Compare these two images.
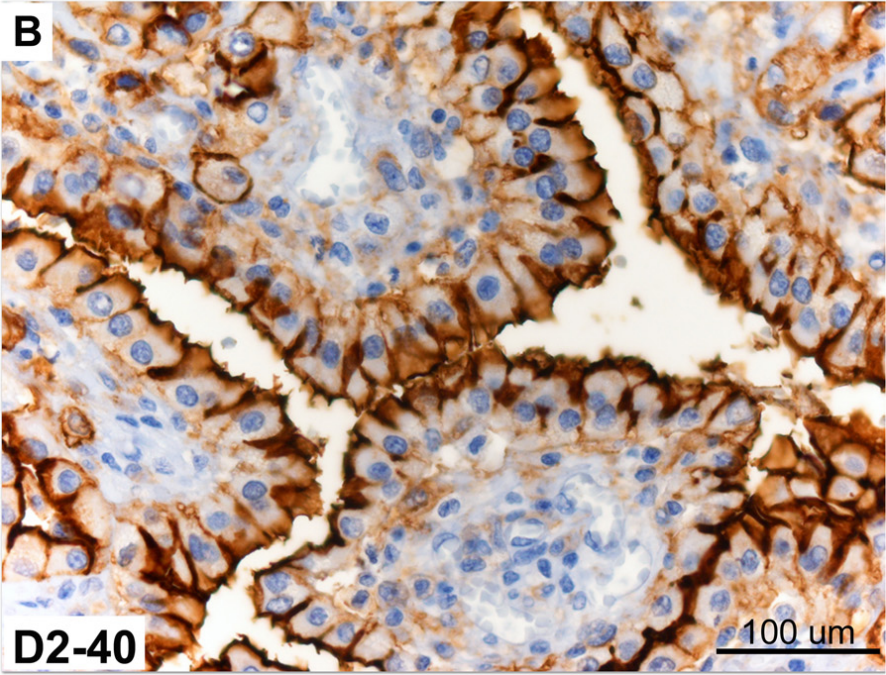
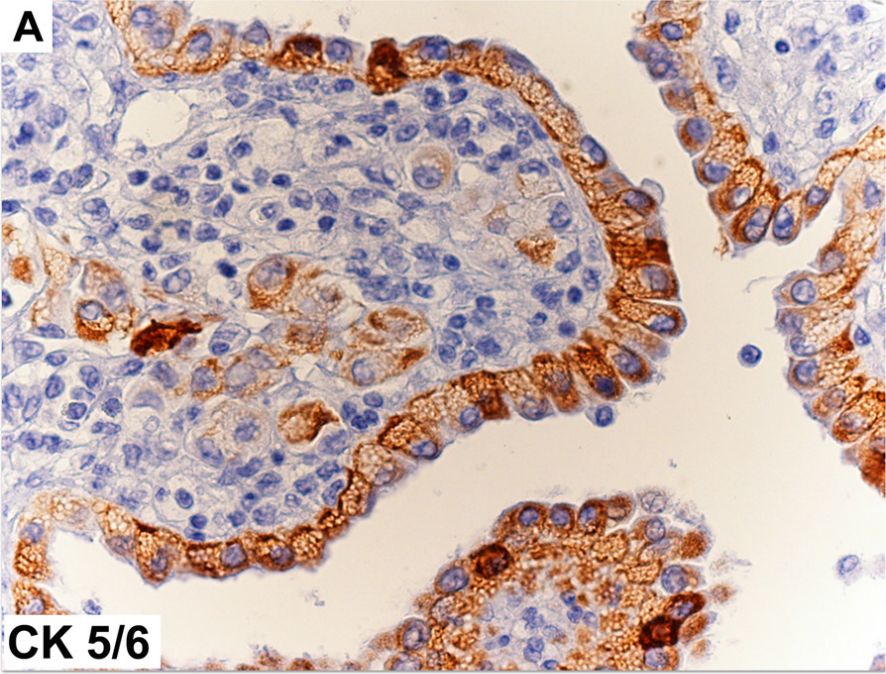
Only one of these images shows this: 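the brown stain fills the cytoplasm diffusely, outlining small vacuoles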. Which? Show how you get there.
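The second image. First image: brown stain lies mainly along cell borders and is darkest at the luminal surface, with cytoplasm lighter. Second image: brown stain fills the cytoplasm of the lining cells, giving a bubbly vacuolated pattern.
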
